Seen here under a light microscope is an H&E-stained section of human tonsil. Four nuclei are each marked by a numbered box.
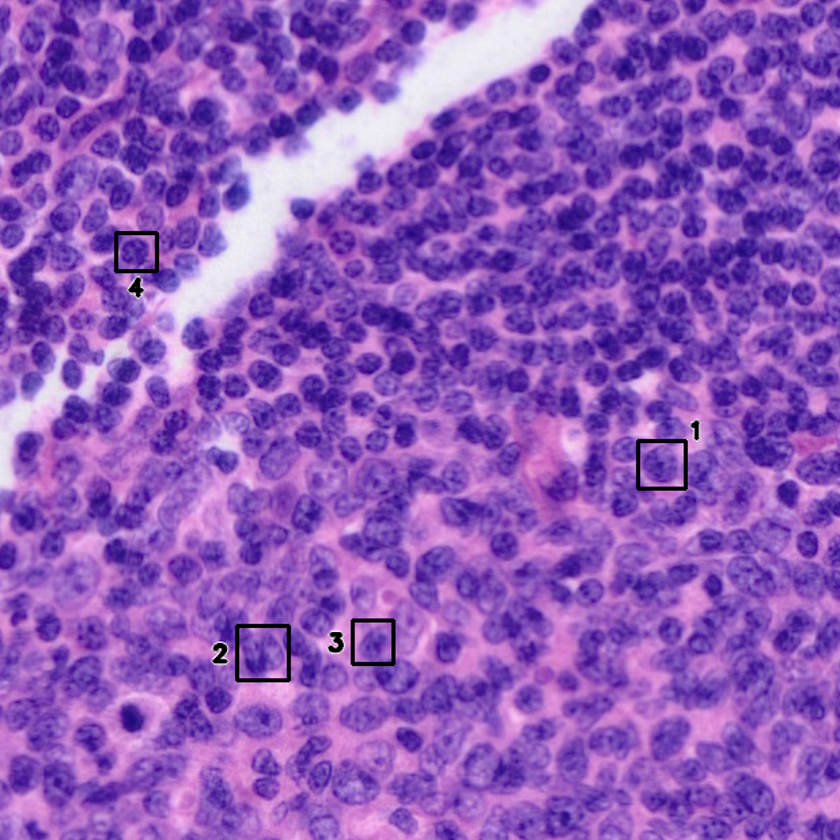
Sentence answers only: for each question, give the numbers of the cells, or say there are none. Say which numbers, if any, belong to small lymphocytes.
Only the cell with the number 4 is a small lymphocyte.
